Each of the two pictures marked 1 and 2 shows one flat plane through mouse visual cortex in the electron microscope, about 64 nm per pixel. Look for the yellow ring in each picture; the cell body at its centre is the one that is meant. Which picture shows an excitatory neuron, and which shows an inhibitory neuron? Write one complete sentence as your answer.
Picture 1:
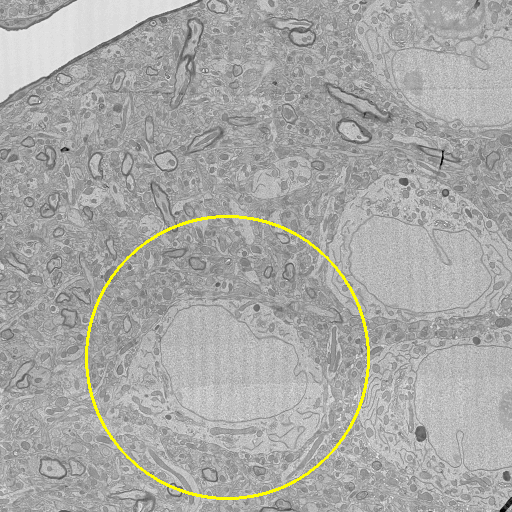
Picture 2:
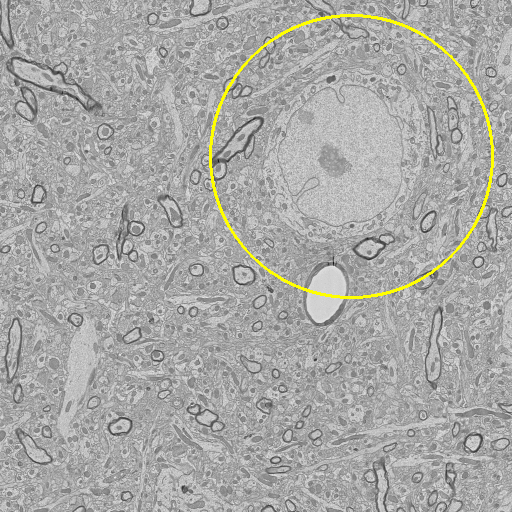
It is picture 1 that shows an excitatory neuron, and picture 2 that shows an inhibitory neuron.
